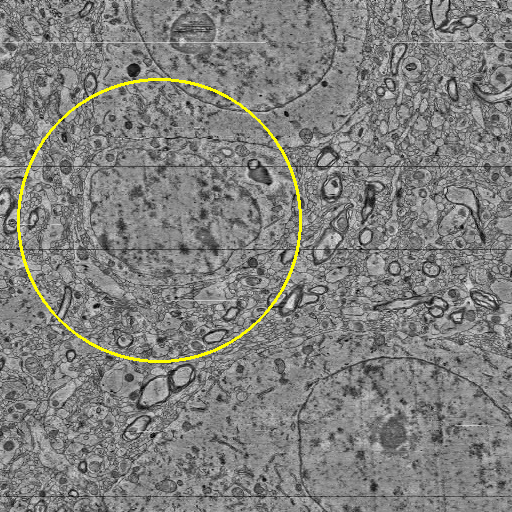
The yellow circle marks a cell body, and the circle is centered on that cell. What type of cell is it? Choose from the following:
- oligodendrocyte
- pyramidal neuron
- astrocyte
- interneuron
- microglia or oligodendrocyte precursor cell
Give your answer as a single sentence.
This cell body belongs to an interneuron.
